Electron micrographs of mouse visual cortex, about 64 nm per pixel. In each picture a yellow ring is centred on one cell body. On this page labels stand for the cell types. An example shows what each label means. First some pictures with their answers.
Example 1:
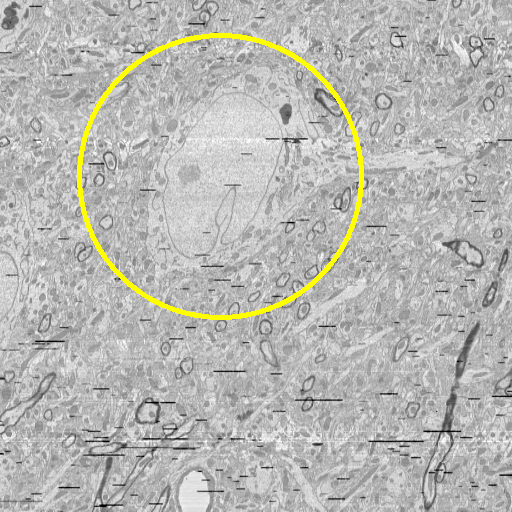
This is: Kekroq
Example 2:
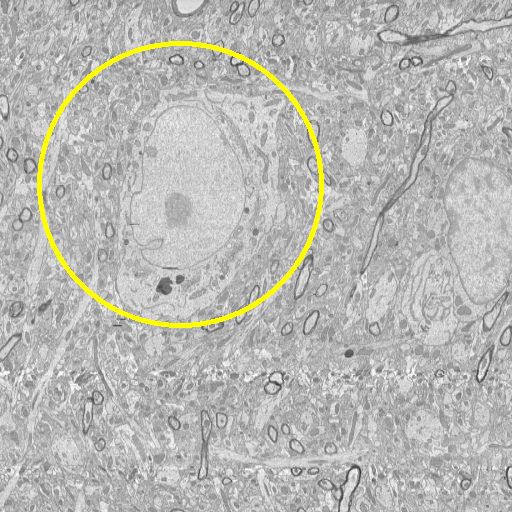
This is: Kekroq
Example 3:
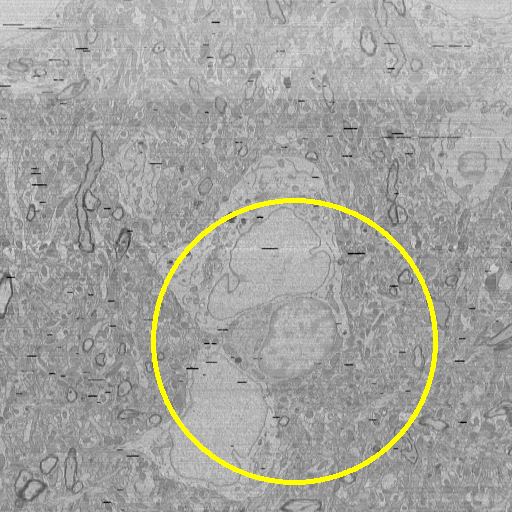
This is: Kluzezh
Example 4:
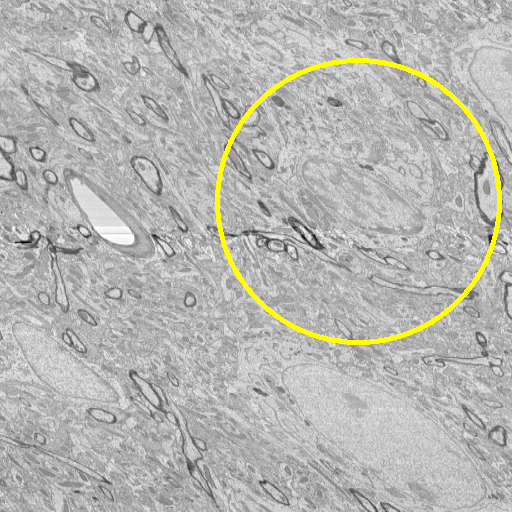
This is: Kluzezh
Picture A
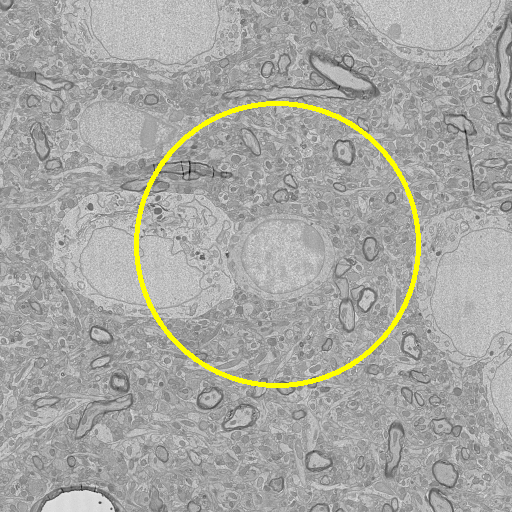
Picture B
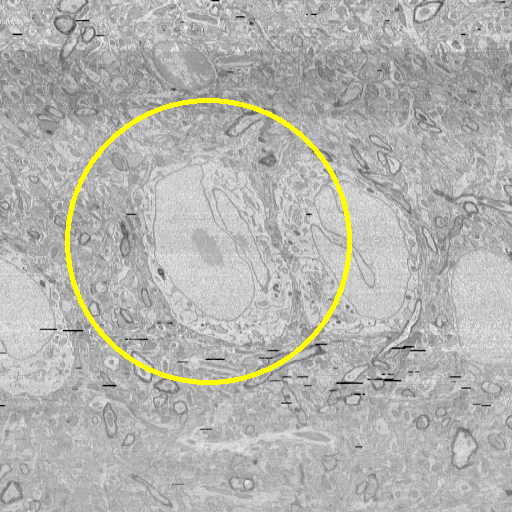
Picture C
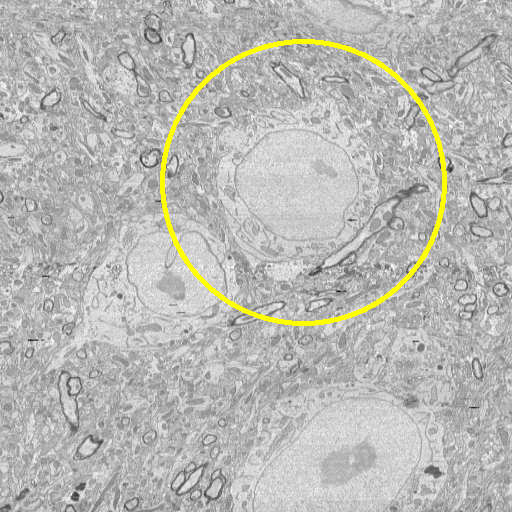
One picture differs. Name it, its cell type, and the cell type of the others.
Odd one out: A (Kluzezh). The rest: Kekroq.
